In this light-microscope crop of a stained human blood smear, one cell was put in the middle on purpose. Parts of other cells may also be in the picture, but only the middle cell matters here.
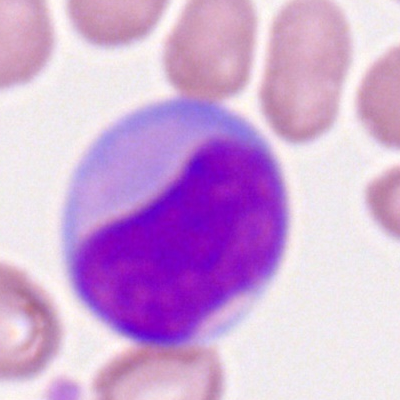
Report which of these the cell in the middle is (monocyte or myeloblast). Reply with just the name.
myeloblast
